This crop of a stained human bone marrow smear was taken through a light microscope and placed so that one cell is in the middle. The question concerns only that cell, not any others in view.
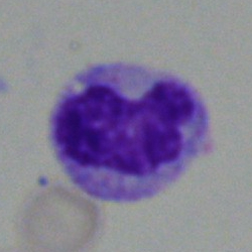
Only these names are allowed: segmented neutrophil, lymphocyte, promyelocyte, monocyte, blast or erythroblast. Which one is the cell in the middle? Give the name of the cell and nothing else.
monocyte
